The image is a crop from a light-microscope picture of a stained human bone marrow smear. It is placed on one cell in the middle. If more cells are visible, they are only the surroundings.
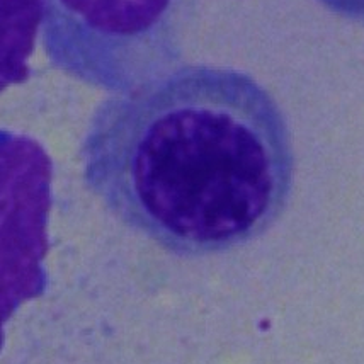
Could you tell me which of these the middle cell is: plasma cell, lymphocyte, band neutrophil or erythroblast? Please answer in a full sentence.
The cell under consideration, at the middle of the crop, is an erythroblast.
